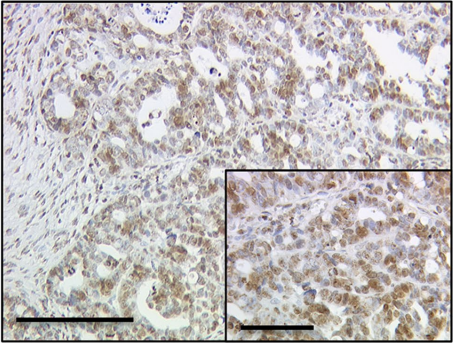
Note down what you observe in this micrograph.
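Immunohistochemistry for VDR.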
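The tumour cells are columnar to polygonal with round to oval nuclei, and most of these nuclei are coloured a distinct brown, with lighter brown tinge in the surrounding cytoplasm. The inset shows the packed glandular epithelium more closely, where the brown-stained nuclei crowd together.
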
